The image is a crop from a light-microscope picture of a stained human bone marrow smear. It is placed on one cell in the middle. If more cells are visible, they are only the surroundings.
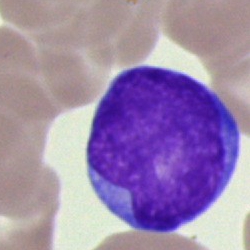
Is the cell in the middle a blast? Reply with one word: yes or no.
yes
